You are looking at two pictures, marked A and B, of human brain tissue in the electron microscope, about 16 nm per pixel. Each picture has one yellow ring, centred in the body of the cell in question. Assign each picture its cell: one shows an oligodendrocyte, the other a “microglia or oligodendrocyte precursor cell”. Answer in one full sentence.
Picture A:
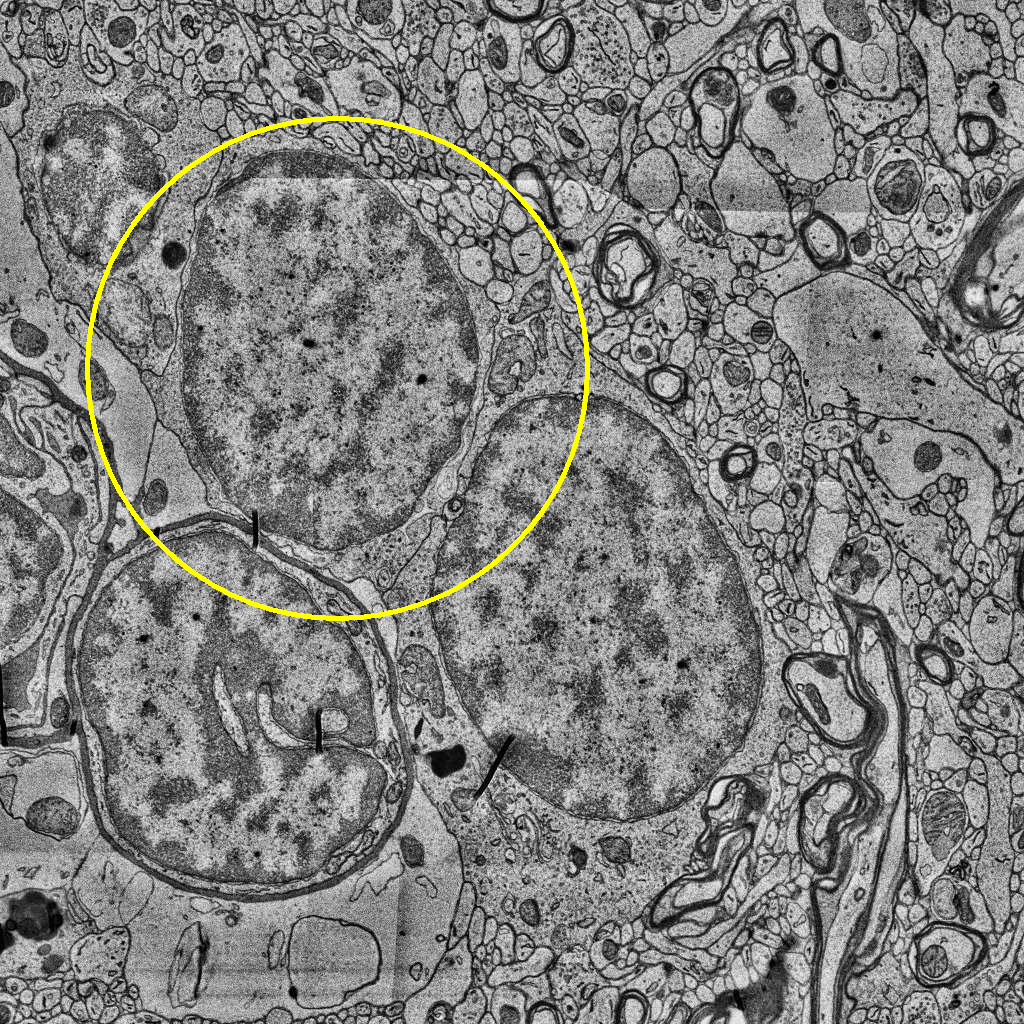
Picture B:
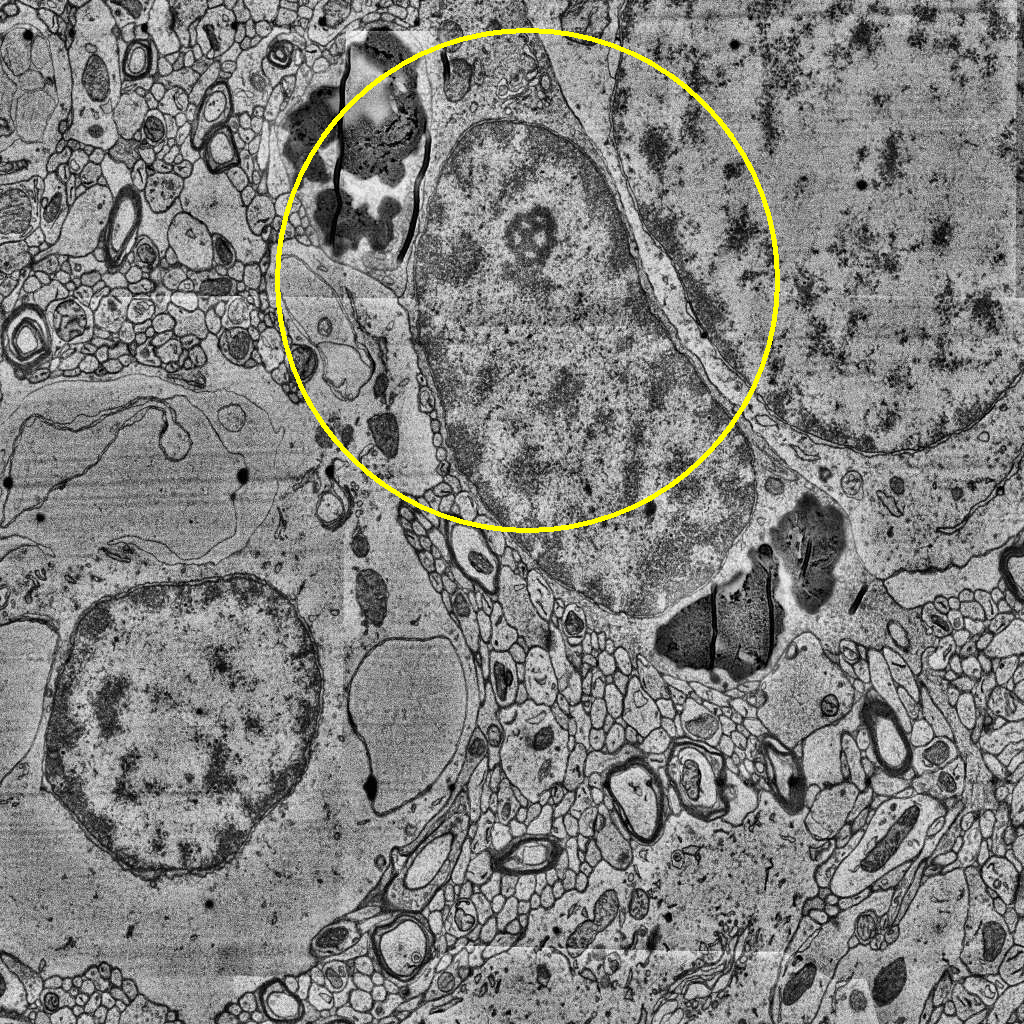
Picture B shows a “microglia or oligodendrocyte precursor cell”, while picture A shows an oligodendrocyte.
